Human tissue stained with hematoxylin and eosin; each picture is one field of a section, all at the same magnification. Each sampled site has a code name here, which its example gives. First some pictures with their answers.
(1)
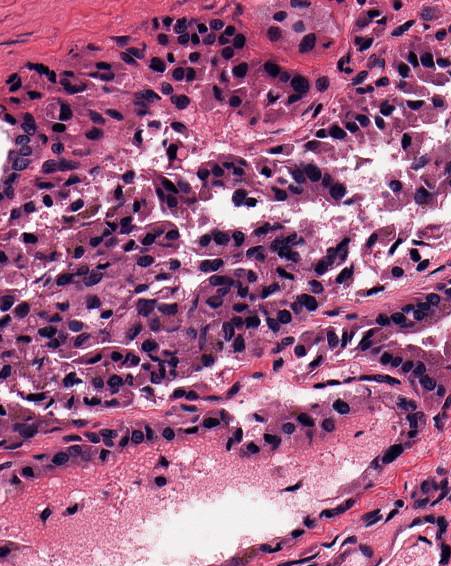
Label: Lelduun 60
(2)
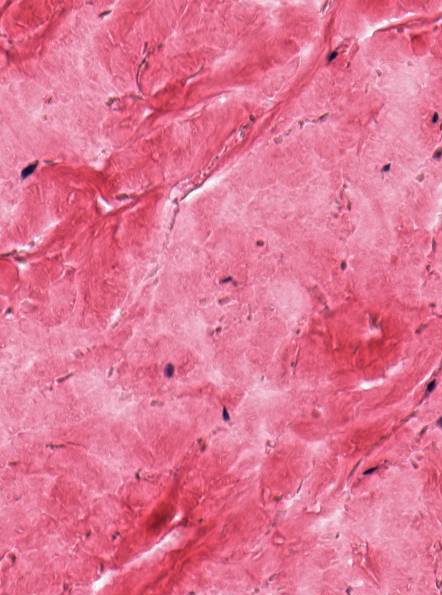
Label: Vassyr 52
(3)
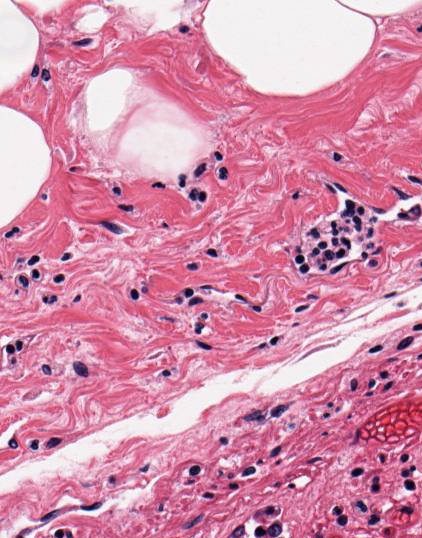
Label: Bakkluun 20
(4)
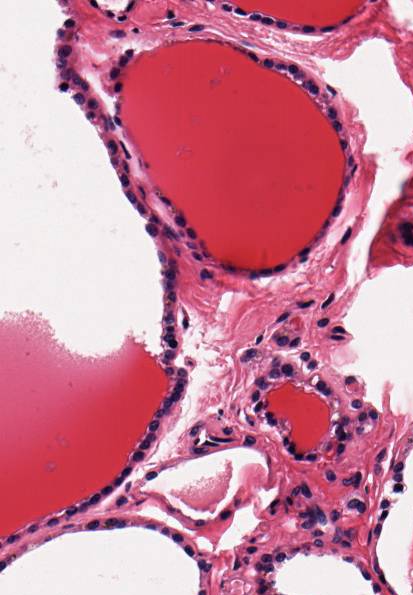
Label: Lelduun 60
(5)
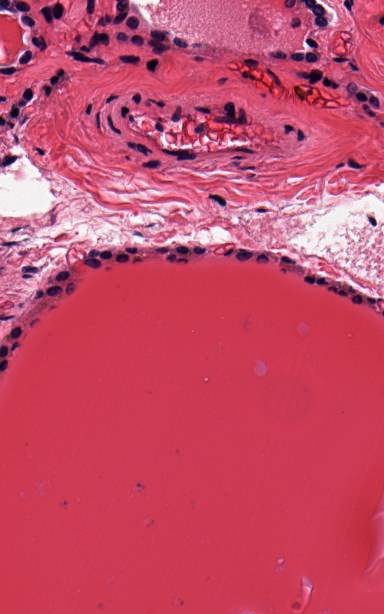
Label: Lelduun 60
